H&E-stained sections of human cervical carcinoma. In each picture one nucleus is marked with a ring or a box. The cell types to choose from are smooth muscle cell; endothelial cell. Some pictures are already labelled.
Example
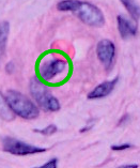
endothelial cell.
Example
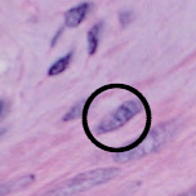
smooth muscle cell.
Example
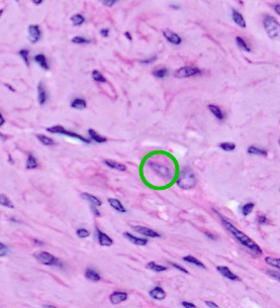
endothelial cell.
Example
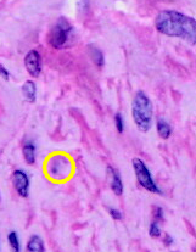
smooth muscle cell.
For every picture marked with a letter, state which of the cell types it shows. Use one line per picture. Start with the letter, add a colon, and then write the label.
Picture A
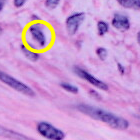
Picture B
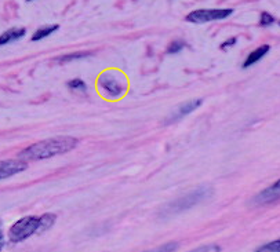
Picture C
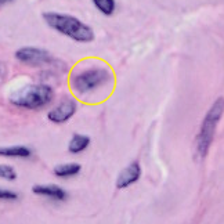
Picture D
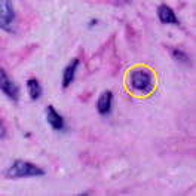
A: smooth muscle cell.
B: smooth muscle cell.
C: endothelial cell.
D: smooth muscle cell.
